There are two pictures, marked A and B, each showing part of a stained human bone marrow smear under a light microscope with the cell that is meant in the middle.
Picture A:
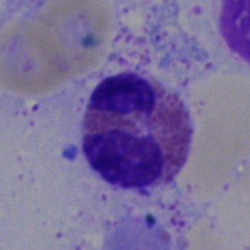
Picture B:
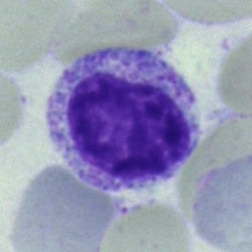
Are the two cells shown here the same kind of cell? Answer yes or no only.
no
